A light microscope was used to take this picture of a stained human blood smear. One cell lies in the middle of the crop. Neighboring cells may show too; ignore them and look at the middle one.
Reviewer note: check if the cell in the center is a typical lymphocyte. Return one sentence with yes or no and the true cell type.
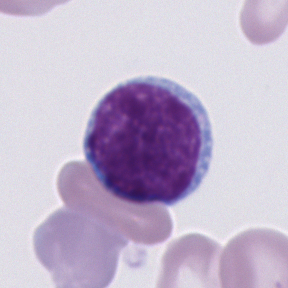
Yes, the cell centred in the field of view is a typical lymphocyte.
